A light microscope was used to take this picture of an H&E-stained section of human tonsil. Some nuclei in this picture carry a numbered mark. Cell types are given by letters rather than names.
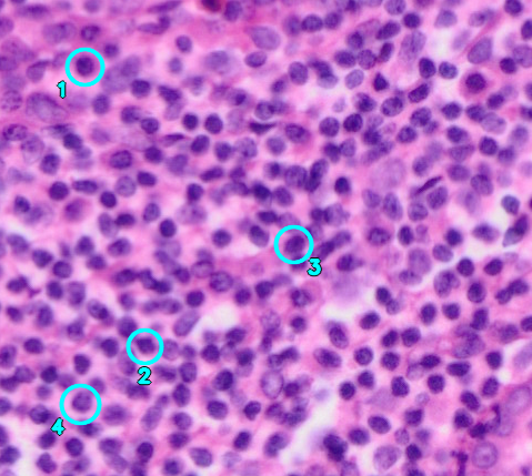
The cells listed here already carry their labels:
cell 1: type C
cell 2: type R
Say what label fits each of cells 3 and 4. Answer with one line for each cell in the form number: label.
3: type R
4: type R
